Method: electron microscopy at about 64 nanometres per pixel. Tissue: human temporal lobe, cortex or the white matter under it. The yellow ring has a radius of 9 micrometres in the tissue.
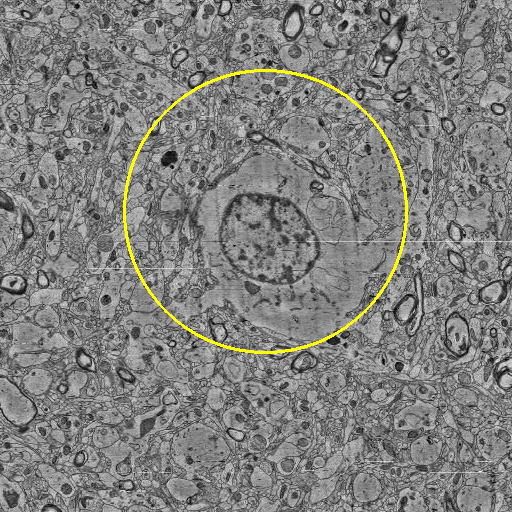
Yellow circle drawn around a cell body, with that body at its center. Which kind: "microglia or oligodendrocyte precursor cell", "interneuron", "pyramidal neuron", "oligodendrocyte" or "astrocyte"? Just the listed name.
astrocyte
